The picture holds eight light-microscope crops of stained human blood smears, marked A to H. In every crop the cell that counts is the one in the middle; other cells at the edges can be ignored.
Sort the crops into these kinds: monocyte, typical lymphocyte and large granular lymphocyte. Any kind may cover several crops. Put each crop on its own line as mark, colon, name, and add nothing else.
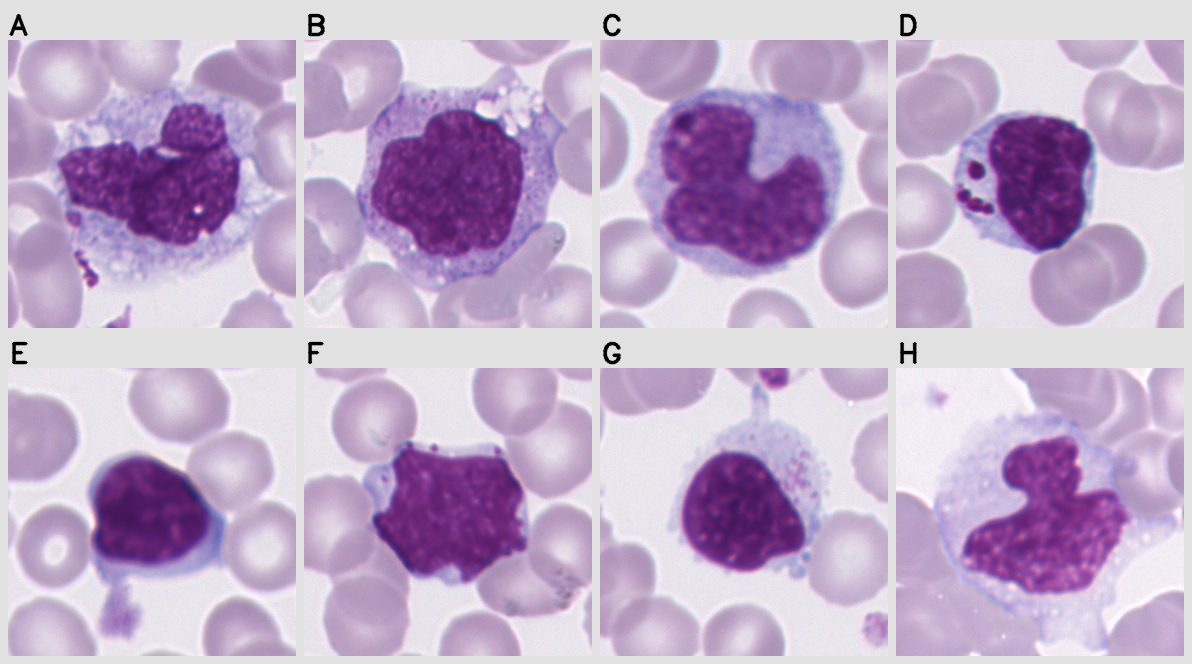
A: monocyte
B: monocyte
C: monocyte
D: large granular lymphocyte
E: typical lymphocyte
F: large granular lymphocyte
G: large granular lymphocyte
H: monocyte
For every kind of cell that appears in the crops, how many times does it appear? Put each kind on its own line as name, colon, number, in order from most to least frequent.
monocyte: 4
large granular lymphocyte: 3
typical lymphocyte: 1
